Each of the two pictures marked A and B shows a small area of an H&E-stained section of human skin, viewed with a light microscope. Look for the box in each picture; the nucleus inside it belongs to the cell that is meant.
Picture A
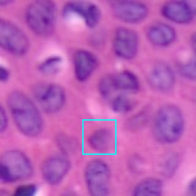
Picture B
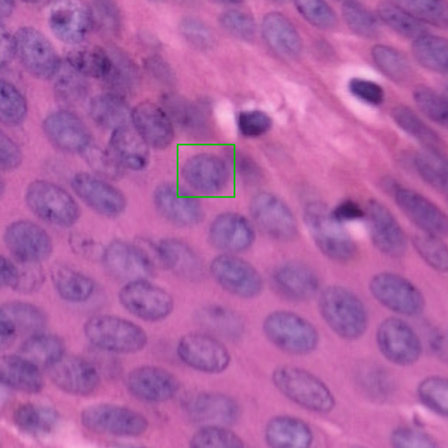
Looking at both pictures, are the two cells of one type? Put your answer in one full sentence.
Yes, both are basal keratinocytes.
